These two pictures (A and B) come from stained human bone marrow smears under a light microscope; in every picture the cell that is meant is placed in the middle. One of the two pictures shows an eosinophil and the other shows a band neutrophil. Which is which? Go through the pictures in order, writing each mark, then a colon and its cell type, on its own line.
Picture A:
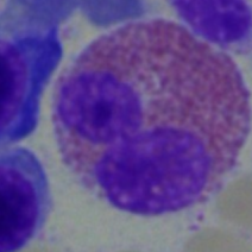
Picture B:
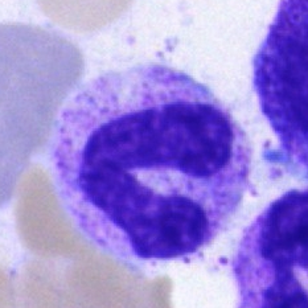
A: eosinophil
B: band neutrophil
